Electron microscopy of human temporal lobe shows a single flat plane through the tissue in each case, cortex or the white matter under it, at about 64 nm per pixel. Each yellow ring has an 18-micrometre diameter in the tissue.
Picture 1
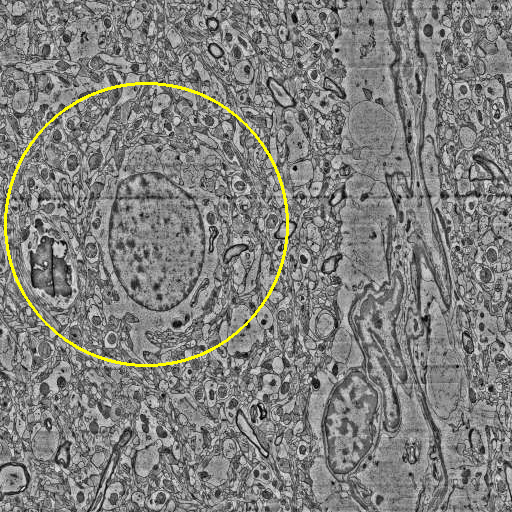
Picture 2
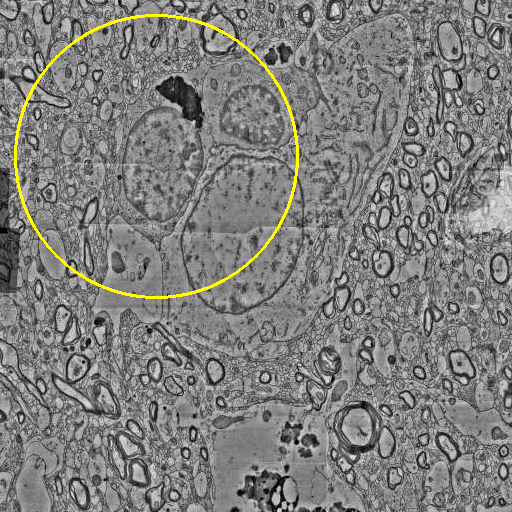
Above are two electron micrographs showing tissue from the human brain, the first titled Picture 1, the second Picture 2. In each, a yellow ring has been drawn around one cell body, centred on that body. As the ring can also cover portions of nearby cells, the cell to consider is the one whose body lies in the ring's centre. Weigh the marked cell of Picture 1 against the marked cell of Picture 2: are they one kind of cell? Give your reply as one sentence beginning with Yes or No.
No, the two cells sitting at the ring centres in the pictures are of two kinds.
